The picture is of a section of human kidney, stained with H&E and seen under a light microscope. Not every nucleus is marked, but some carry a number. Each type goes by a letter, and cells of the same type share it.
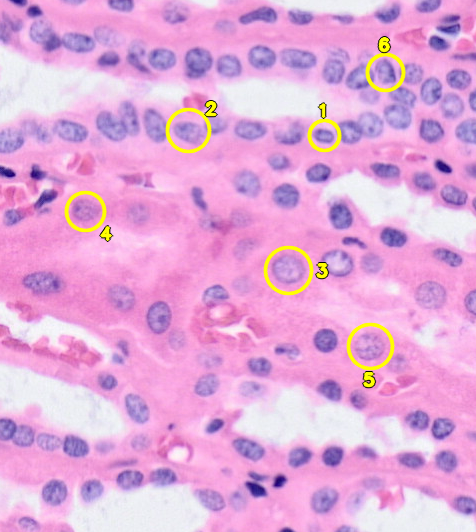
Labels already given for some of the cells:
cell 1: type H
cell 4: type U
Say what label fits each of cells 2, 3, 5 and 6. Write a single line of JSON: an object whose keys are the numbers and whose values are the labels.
{"2": "type H", "3": "type U", "5": "type U", "6": "type H"}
